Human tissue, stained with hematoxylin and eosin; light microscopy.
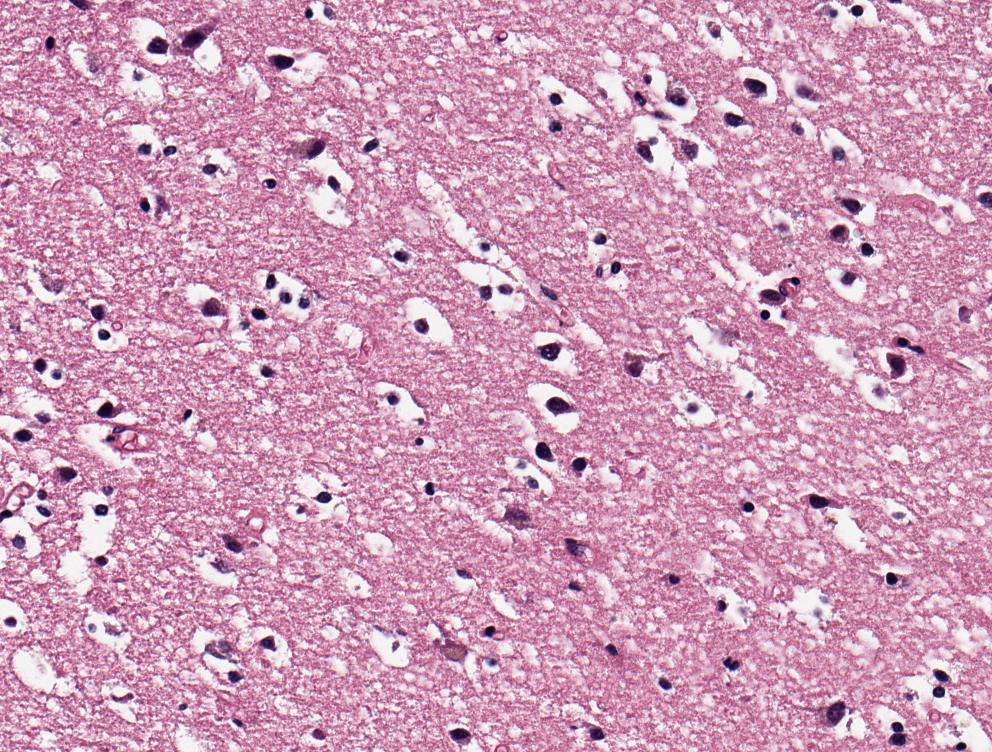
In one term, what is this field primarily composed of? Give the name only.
cerebral cortex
